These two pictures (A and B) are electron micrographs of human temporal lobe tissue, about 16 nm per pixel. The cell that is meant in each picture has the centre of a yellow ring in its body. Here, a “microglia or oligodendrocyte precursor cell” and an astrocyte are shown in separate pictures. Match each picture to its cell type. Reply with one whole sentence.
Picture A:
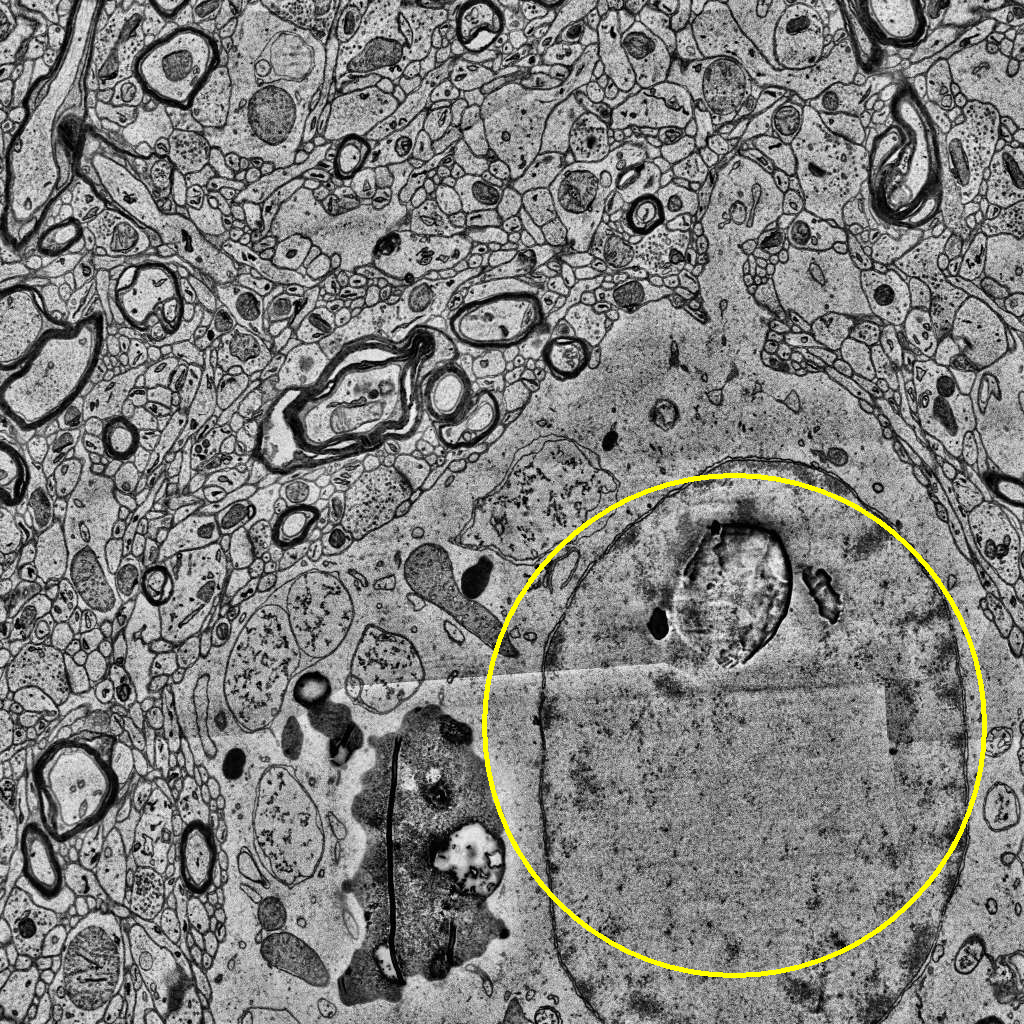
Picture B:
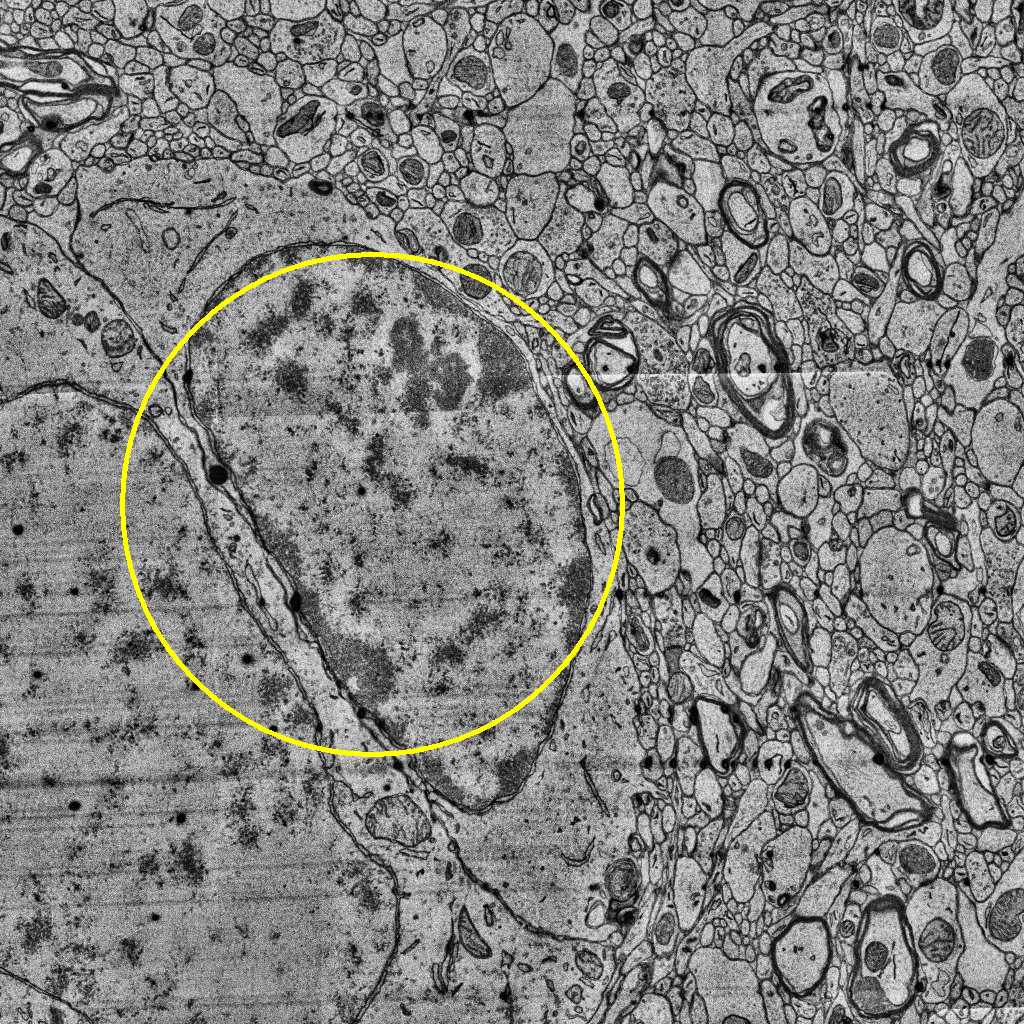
It is picture A that shows an astrocyte, and picture B that shows a “microglia or oligodendrocyte precursor cell”.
